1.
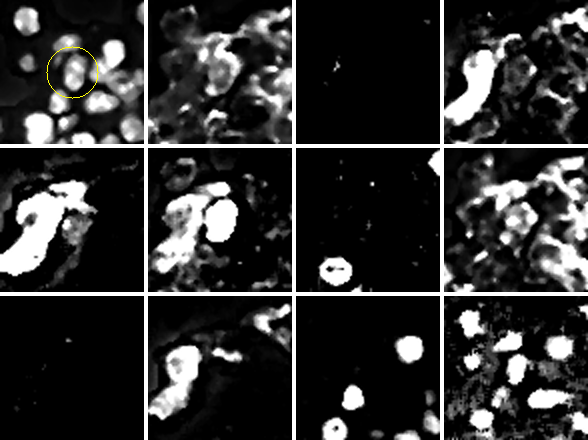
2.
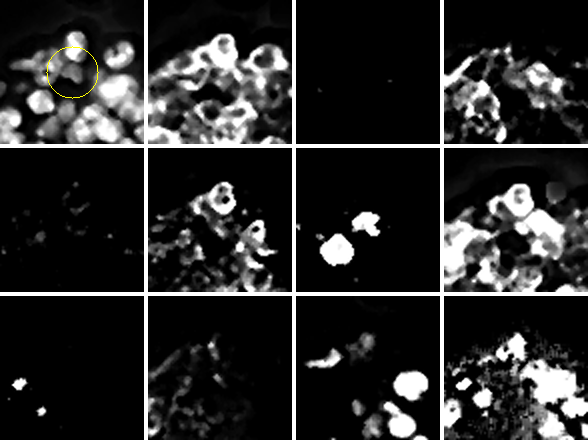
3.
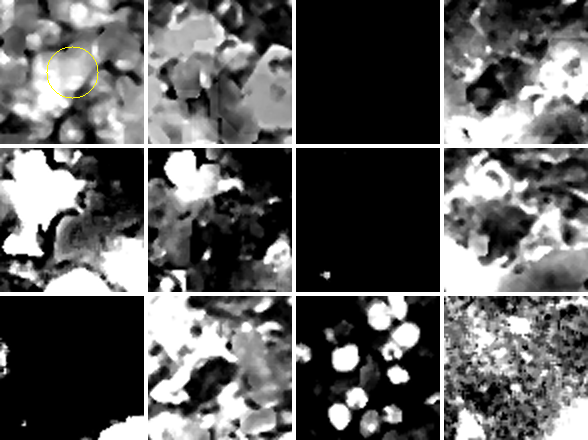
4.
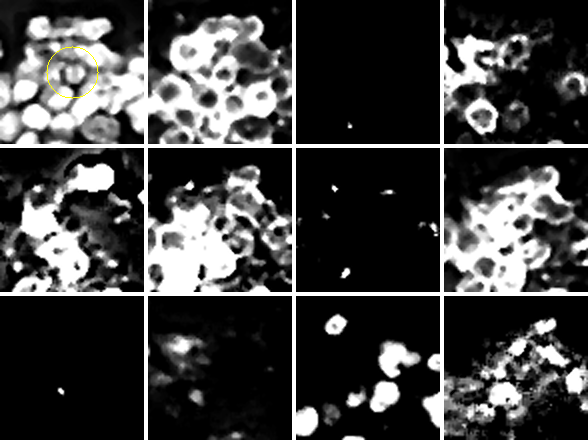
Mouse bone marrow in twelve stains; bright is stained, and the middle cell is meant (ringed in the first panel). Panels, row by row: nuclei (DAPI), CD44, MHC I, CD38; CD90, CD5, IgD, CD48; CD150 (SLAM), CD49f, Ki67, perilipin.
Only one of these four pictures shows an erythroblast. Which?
Picture 3.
